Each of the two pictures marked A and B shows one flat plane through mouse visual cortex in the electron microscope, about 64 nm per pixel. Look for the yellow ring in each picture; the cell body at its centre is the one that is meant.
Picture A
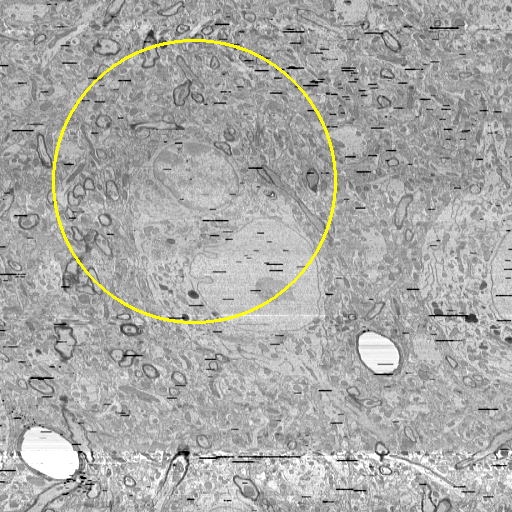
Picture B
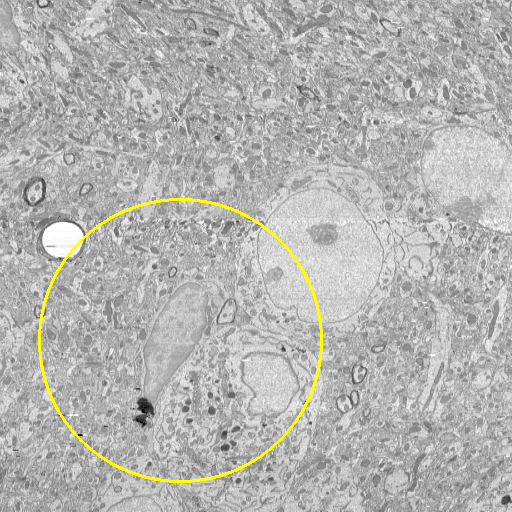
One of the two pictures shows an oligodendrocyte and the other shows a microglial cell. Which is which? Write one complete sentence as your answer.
It is picture A that shows an oligodendrocyte, and picture B that shows a microglial cell.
